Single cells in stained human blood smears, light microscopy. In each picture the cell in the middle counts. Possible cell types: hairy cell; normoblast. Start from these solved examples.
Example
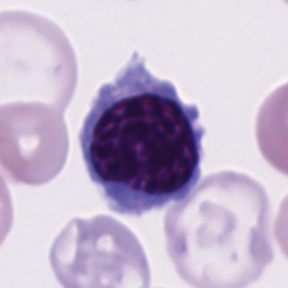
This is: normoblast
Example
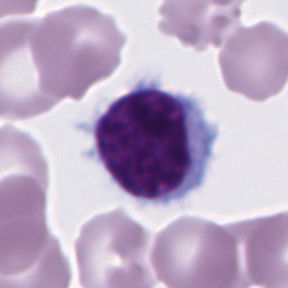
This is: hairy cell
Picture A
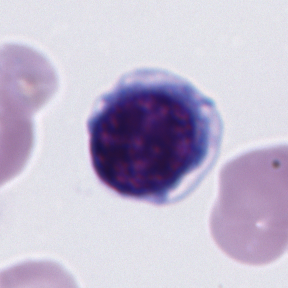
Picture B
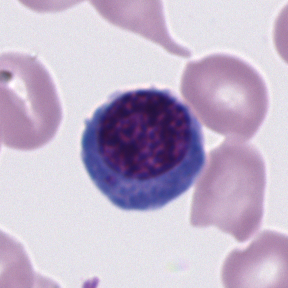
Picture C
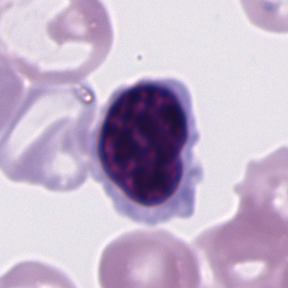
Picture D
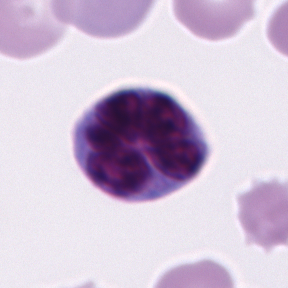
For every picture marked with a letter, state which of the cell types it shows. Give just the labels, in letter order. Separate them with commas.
normoblast, normoblast, normoblast, normoblast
